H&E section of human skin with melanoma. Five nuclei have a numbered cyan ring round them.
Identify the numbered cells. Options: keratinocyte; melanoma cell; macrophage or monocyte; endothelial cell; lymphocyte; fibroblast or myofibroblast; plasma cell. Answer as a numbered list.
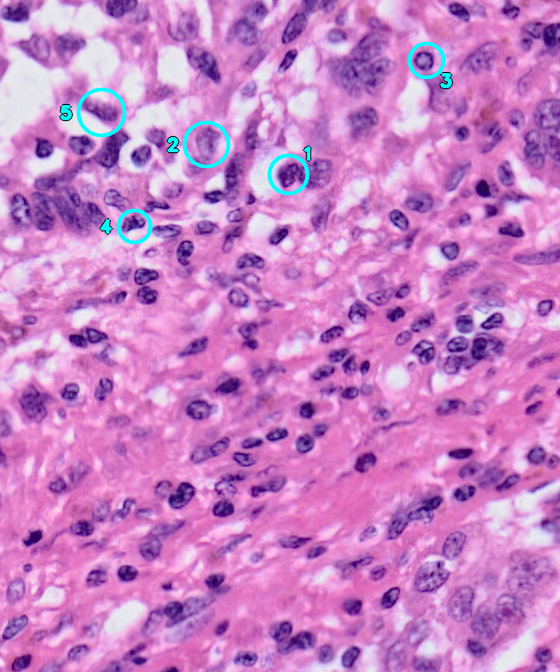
1. melanoma cell
2. melanoma cell
3. lymphocyte
4. lymphocyte
5. melanoma cell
